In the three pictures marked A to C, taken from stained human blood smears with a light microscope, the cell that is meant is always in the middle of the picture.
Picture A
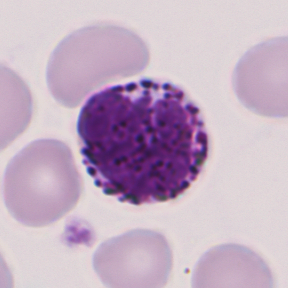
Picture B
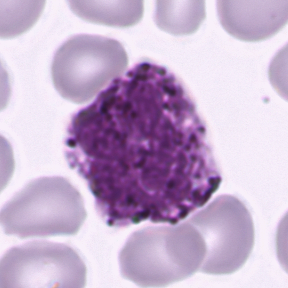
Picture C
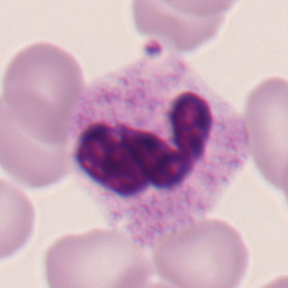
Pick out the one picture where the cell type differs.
C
